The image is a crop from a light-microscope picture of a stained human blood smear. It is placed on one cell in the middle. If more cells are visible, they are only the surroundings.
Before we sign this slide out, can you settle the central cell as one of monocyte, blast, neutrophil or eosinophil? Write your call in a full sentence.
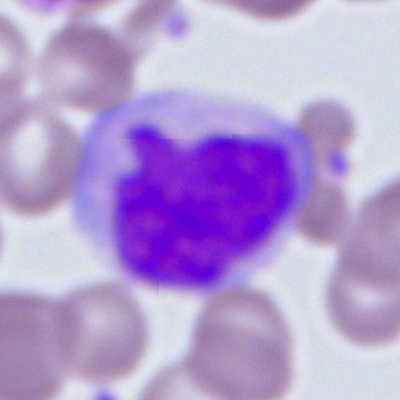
The cell at the centre of the field is a monocyte.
